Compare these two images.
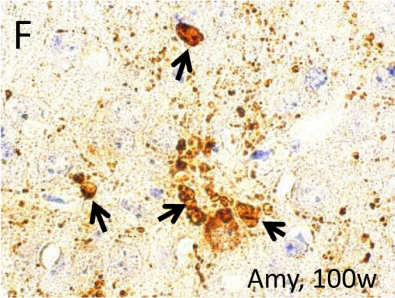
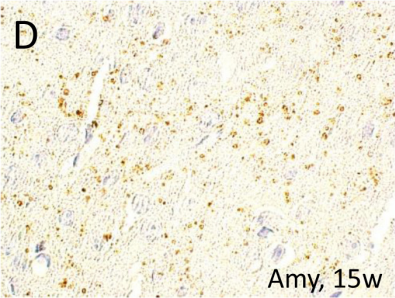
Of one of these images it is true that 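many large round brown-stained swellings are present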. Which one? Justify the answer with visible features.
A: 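The first image. First image: several large, dark brown round bodies, some in a cluster, stand out against the fine background.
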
